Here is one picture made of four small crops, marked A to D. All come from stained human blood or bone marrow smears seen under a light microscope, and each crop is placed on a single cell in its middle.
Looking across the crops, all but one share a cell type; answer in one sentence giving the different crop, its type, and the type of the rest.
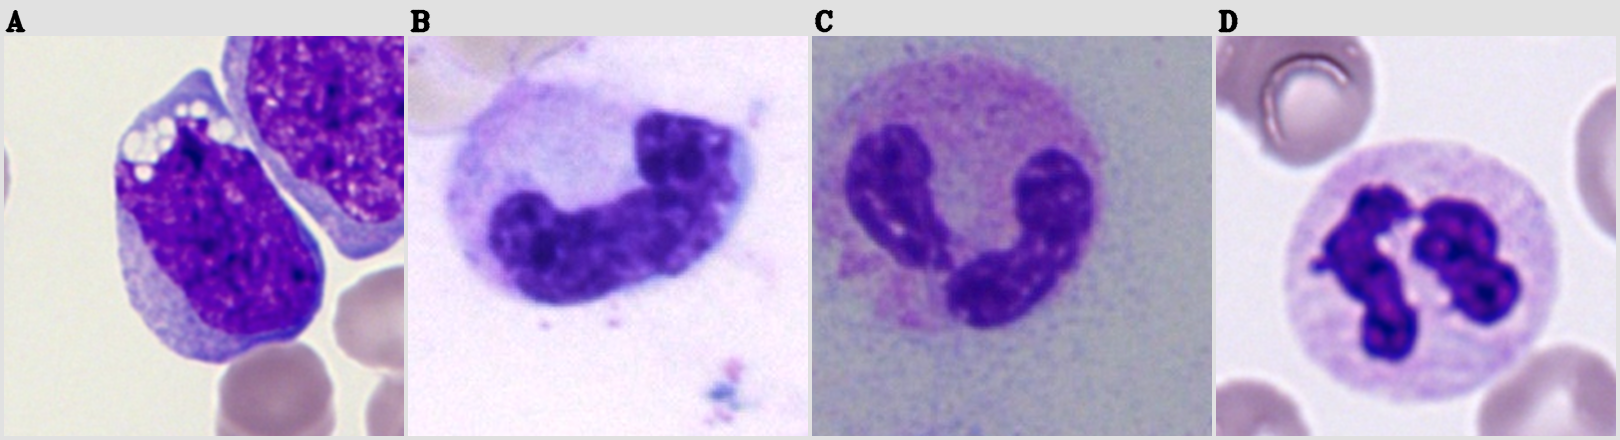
What sets crop A apart is that it shows a monocyte, while the others show segmented neutrophils.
